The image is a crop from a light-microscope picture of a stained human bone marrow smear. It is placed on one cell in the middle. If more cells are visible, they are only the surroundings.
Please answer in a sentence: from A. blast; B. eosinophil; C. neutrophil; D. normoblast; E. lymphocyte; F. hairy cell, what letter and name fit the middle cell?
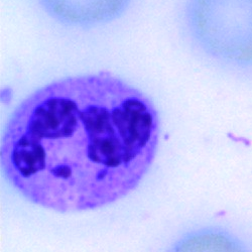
As the central cell is a neutrophil, option C is correct.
